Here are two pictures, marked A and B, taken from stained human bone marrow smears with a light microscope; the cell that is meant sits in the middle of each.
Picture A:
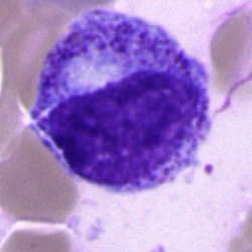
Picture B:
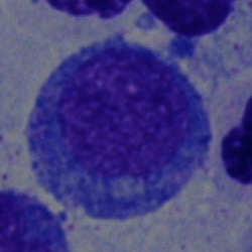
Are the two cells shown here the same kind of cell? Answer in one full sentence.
Yes, the two pictures both show promyelocytes.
